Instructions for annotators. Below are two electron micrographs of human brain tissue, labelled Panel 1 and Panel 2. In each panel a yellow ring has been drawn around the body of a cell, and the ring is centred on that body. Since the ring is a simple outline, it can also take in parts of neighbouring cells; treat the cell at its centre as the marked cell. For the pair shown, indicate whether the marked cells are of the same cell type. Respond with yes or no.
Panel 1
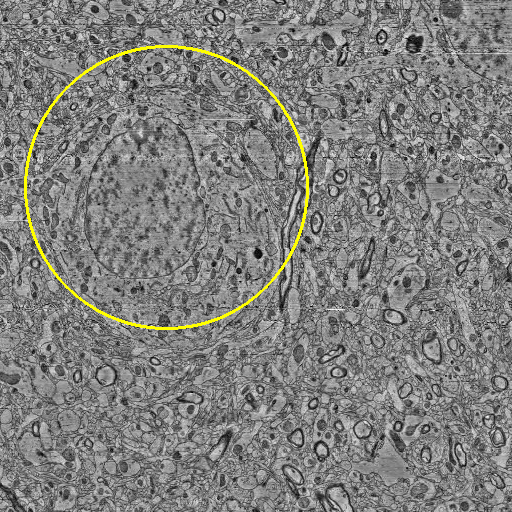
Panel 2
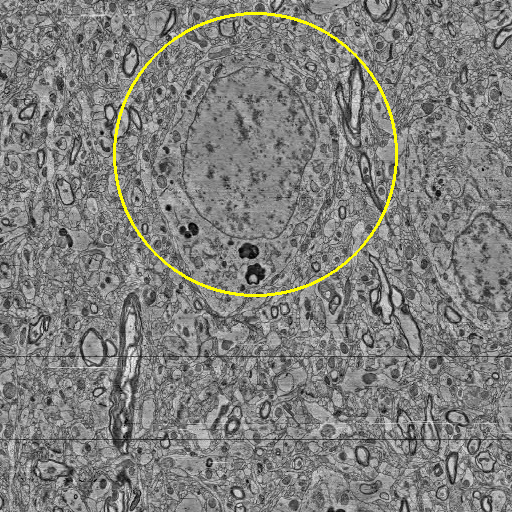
no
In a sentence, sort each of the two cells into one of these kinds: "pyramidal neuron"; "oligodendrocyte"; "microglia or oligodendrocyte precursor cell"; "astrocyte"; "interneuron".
The first of the two cells is an interneuron, and the second is a pyramidal neuron.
